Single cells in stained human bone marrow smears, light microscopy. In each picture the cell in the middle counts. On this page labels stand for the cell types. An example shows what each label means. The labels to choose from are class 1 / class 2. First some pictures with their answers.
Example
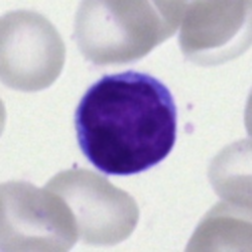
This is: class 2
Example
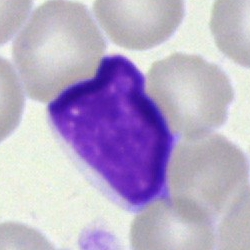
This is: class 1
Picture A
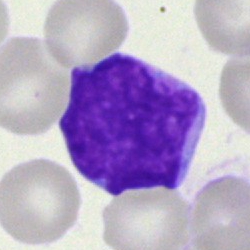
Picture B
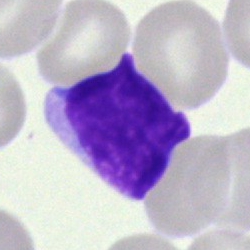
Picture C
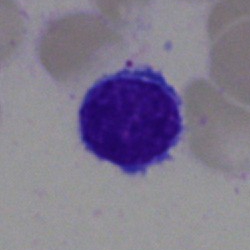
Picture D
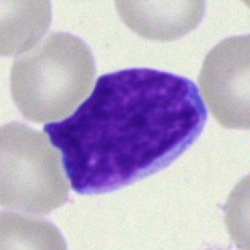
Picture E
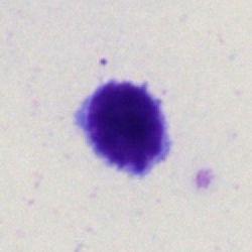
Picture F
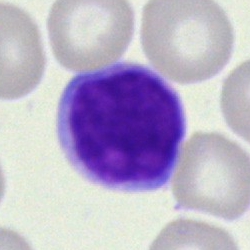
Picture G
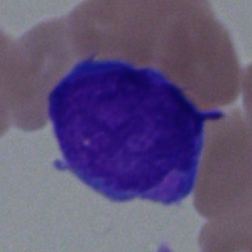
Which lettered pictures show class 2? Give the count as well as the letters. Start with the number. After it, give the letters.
3: C, E, F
